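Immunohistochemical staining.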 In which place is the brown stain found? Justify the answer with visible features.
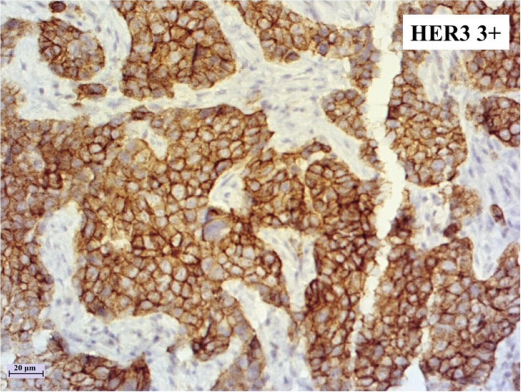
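Brown stain traces the outline of individual cells. Cell interiors are paler than their rims. The stroma between cell clusters is unstained. The answer: membranous.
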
